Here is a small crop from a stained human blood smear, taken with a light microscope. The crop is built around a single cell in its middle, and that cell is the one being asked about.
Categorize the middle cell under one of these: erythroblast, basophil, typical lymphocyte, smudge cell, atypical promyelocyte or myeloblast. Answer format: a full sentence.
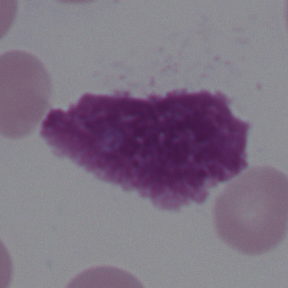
The cell featured at the centre of this crop is a smudge cell.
